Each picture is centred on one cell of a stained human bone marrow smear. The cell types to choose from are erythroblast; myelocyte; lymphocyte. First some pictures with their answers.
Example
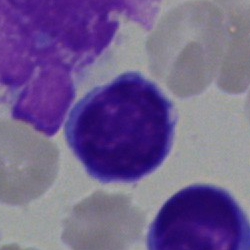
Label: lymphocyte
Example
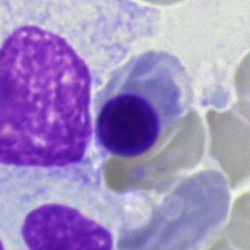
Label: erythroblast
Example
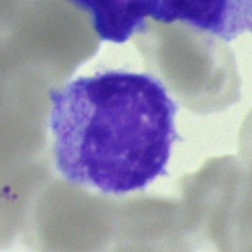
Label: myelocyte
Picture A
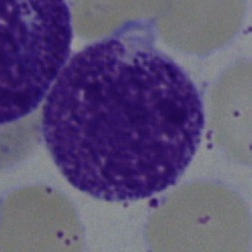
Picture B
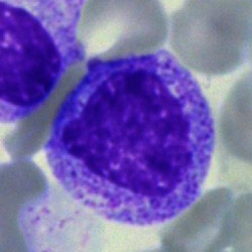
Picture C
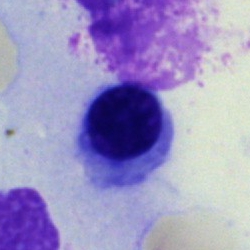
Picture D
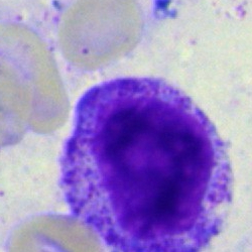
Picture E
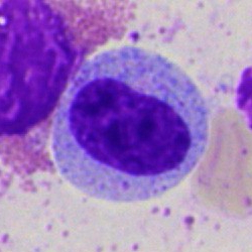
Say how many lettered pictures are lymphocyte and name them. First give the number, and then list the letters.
0, none of them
